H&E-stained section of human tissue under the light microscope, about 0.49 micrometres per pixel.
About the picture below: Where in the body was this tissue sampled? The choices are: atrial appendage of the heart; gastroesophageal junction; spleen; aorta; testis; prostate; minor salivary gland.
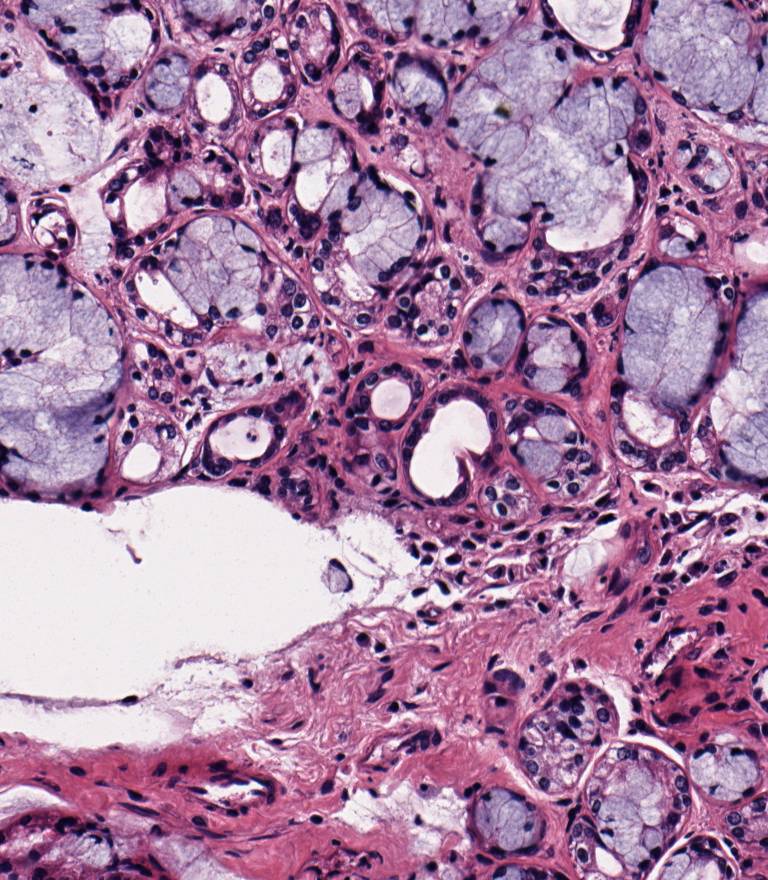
minor salivary gland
